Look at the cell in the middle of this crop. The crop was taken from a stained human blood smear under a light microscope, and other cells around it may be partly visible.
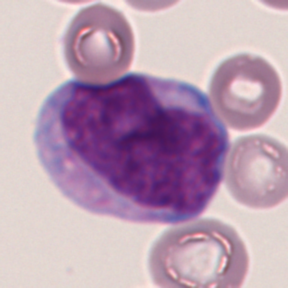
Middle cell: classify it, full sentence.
Positioned in the middle of the crop is an atypical promyelocyte.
